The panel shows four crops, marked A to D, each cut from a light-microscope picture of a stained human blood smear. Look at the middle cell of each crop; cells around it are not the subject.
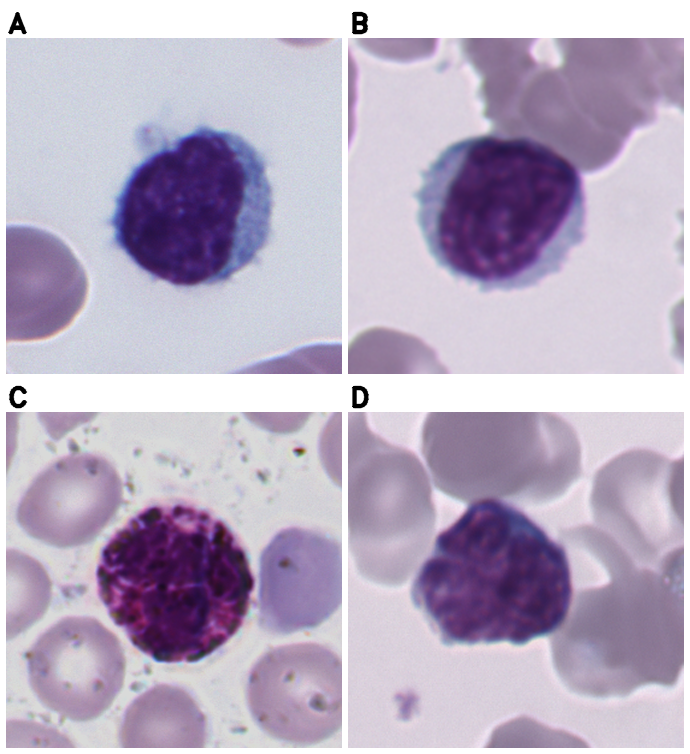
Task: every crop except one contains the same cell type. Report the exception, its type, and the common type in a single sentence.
Crop C is different, showing a basophil, whereas all the others show typical lymphocytes.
